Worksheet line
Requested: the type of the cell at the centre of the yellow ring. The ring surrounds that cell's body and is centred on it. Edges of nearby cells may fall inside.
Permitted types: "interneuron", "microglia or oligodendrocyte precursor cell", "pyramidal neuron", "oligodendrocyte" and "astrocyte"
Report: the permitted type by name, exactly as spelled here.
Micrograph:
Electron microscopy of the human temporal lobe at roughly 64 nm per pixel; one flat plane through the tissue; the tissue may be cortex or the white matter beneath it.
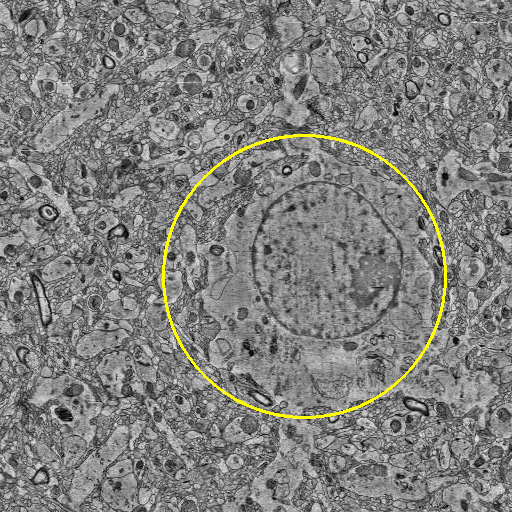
astrocyte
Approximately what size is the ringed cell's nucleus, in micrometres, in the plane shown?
In this plane, roughly 10 micrometres across.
